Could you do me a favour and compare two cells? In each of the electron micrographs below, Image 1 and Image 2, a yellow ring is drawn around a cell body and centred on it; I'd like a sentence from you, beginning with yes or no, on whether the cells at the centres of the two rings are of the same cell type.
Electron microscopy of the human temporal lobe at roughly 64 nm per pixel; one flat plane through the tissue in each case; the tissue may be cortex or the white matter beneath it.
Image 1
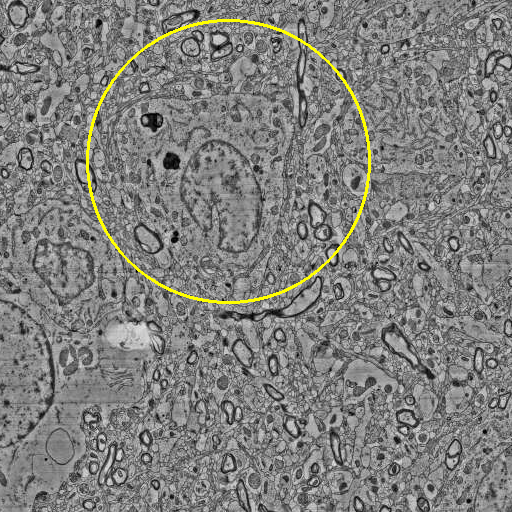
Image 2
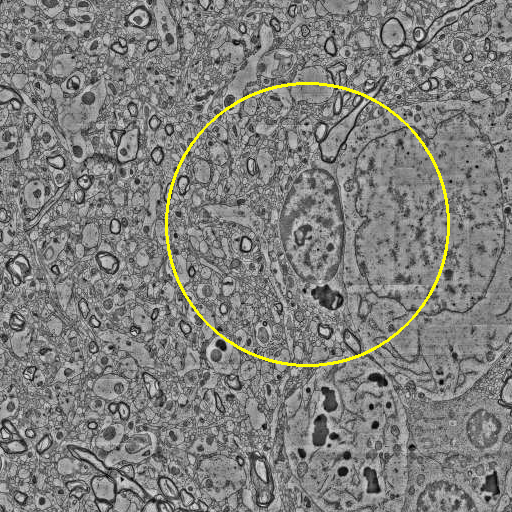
No, the two cells are of two cell types.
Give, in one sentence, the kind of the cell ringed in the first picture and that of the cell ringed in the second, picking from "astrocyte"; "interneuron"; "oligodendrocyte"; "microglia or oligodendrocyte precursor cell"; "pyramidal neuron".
For the first picture it is a pyramidal neuron; for the second, an oligodendrocyte.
